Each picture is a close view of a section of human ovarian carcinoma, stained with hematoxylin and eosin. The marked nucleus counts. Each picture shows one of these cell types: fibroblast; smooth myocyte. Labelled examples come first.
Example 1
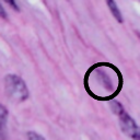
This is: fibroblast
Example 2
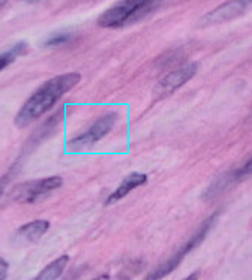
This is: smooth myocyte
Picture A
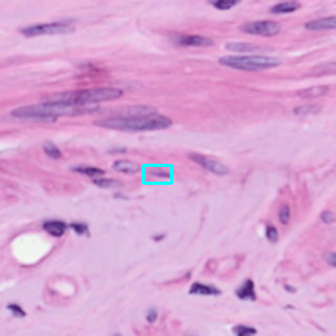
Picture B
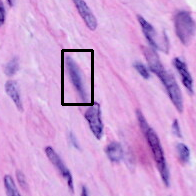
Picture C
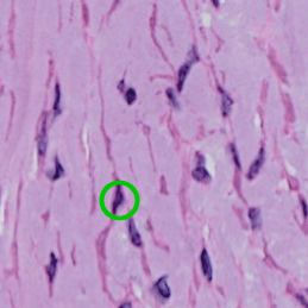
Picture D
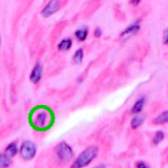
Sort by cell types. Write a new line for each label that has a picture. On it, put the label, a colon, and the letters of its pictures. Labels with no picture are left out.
fibroblast: C
smooth myocyte: A, B, D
